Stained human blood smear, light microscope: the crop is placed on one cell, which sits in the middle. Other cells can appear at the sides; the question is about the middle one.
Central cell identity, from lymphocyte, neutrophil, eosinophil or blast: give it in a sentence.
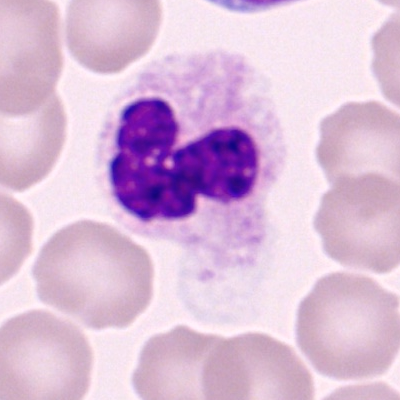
Here the cell in the middle is a neutrophil.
